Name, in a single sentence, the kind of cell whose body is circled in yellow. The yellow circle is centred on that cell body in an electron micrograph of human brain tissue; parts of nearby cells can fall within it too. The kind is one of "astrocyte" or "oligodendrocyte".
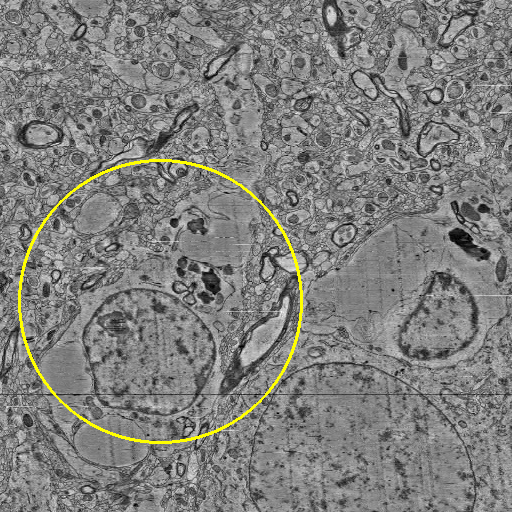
The circled cell body belongs to an astrocyte.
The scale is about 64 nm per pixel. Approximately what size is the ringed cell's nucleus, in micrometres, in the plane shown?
About 8 micrometers across, in this plane.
